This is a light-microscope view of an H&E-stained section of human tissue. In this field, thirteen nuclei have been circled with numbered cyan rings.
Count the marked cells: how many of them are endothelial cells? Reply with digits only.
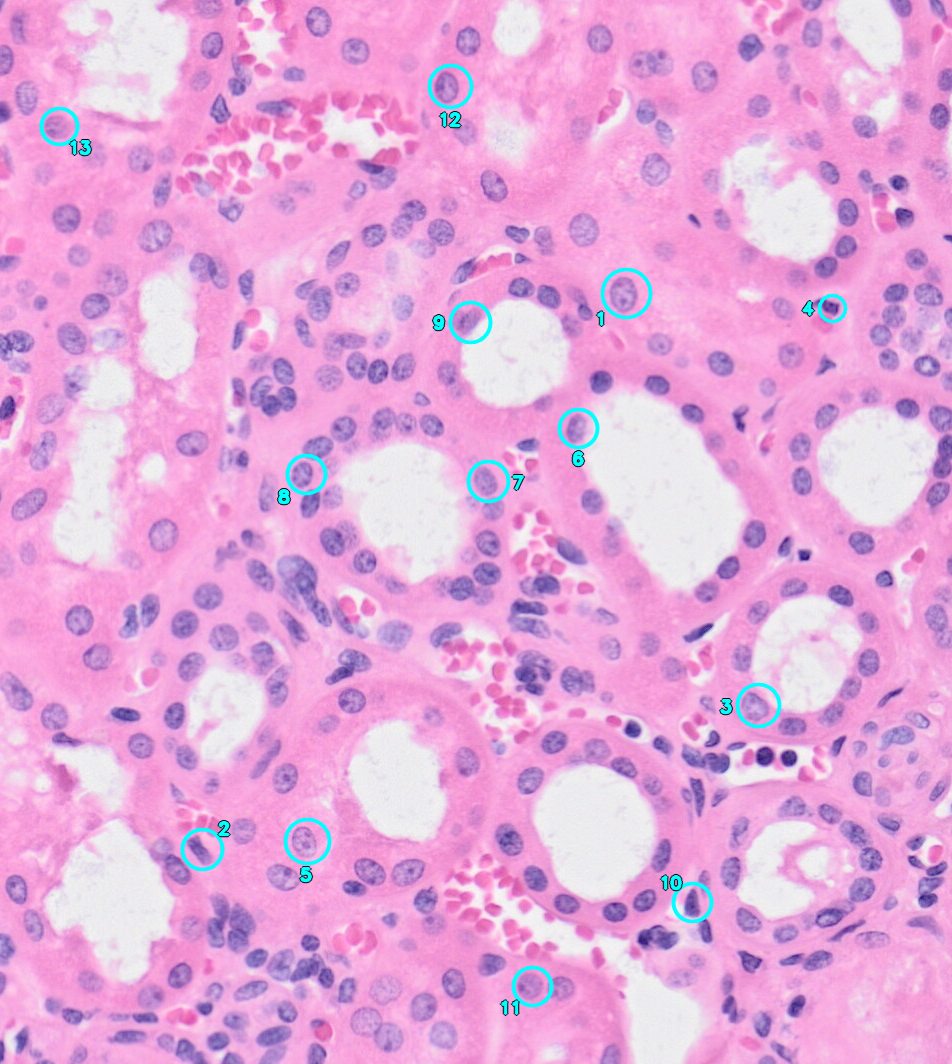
3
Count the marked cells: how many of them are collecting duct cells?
2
